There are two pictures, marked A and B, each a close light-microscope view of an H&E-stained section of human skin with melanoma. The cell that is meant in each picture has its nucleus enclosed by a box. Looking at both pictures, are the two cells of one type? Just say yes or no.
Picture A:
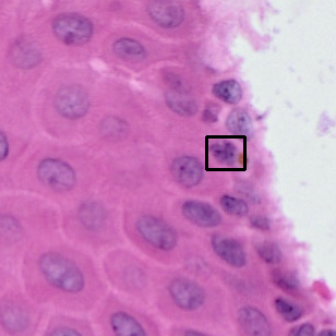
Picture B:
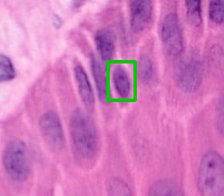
yes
